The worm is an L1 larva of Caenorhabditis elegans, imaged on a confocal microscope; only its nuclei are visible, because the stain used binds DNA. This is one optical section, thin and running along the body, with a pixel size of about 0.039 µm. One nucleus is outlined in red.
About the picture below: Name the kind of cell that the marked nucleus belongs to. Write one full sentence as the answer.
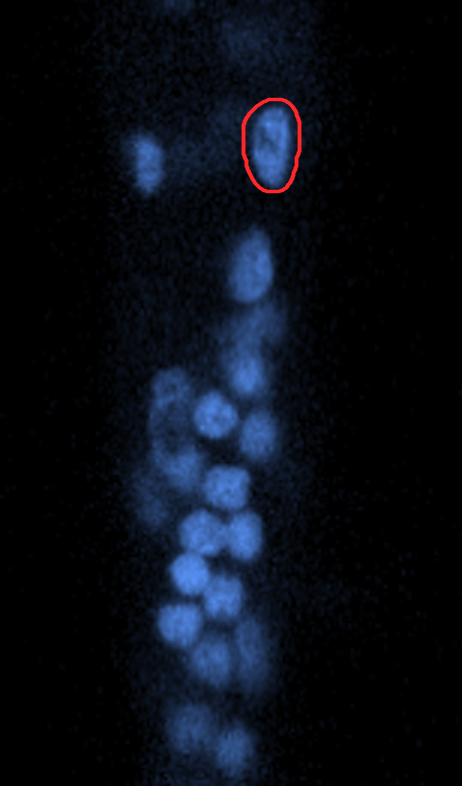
This is the nucleus of a body wall muscle cell.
